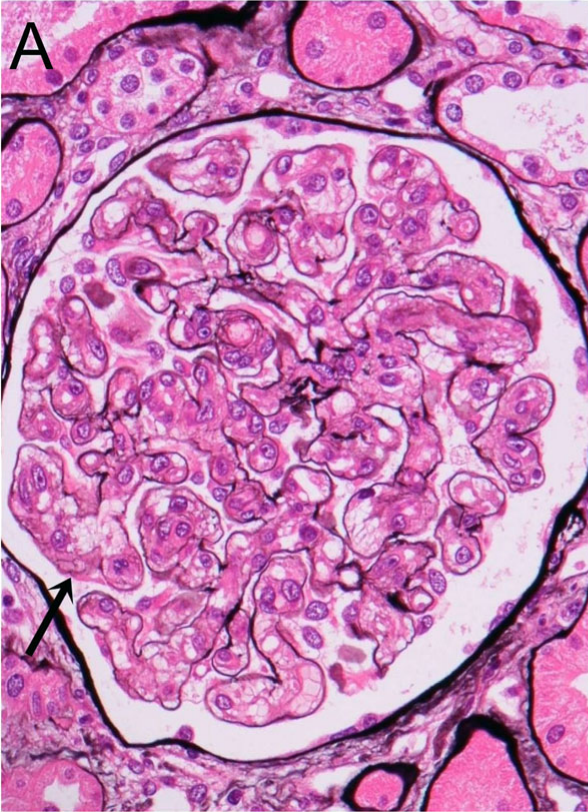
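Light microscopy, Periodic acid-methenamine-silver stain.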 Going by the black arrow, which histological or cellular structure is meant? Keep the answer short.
unanchored dilated capillary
